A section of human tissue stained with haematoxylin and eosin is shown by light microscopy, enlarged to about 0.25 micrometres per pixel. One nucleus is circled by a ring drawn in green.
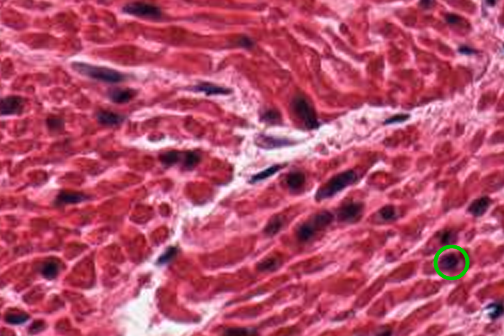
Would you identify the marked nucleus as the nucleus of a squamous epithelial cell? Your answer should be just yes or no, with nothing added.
no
